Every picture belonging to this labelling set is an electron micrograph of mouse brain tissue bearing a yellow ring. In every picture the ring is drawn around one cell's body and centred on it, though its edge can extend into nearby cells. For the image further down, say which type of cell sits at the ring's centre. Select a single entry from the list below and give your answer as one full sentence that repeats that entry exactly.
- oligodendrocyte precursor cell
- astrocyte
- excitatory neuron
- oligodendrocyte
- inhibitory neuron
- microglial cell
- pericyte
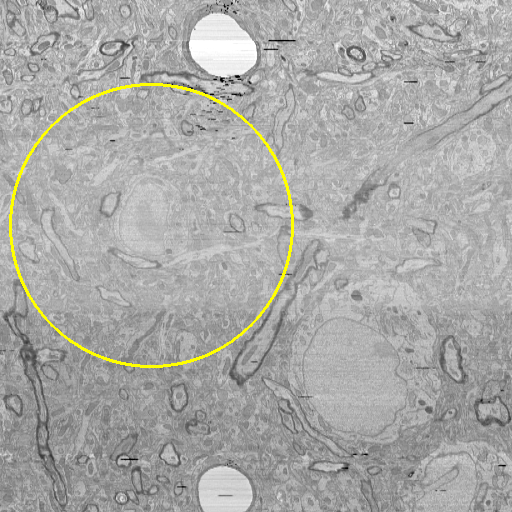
In the picture, an oligodendrocyte precursor cell is the cell at the centre of the yellow ring.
